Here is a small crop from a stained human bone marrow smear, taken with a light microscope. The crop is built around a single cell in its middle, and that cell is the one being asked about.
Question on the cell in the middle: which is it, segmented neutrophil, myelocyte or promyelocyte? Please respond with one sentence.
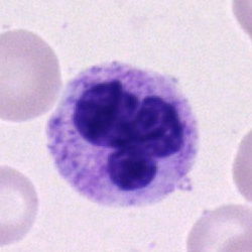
Answering briefly, the cell in the middle is a segmented neutrophil.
